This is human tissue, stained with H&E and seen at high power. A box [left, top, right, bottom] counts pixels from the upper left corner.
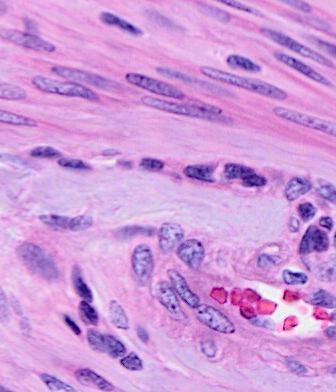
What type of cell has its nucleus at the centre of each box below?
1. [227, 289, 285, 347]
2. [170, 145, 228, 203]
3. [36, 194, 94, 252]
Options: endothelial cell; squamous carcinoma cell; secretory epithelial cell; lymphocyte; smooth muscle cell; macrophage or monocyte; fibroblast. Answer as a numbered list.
1. endothelial cell
2. endothelial cell
3. fibroblast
